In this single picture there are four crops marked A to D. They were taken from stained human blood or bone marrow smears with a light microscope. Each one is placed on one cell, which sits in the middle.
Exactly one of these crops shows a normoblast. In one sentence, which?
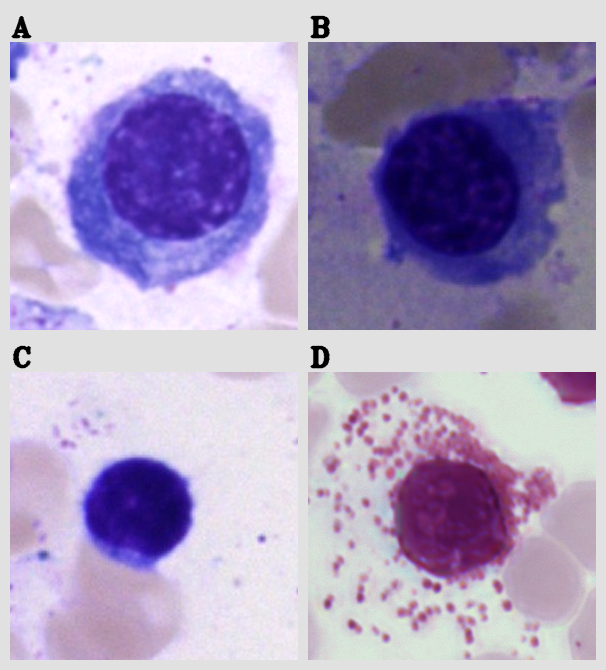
Crop B, and no other, shows a normoblast.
